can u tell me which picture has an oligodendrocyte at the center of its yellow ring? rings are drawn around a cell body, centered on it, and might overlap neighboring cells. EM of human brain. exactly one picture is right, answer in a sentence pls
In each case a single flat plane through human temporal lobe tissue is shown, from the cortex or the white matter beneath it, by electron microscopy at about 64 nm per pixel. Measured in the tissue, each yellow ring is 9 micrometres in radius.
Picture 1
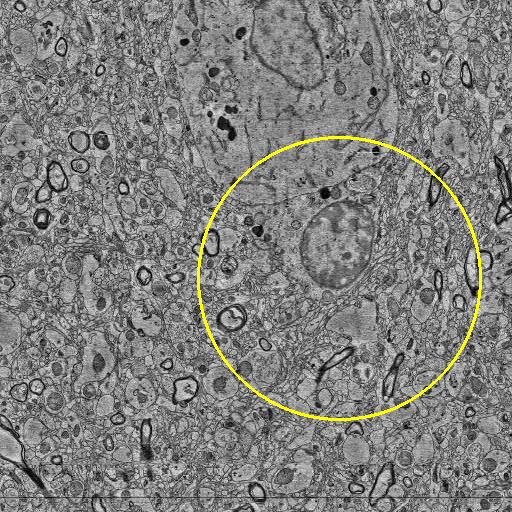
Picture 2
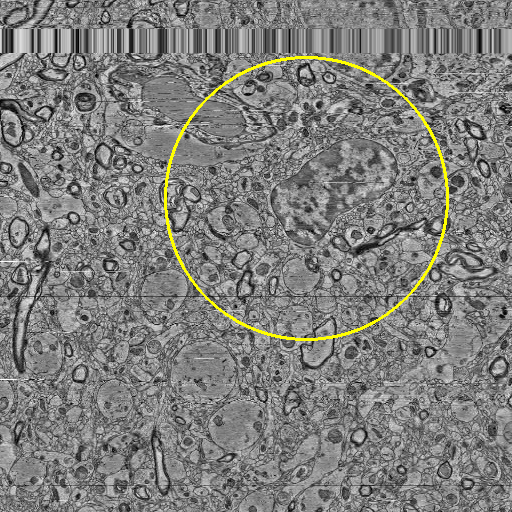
Picture 1 is the one.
